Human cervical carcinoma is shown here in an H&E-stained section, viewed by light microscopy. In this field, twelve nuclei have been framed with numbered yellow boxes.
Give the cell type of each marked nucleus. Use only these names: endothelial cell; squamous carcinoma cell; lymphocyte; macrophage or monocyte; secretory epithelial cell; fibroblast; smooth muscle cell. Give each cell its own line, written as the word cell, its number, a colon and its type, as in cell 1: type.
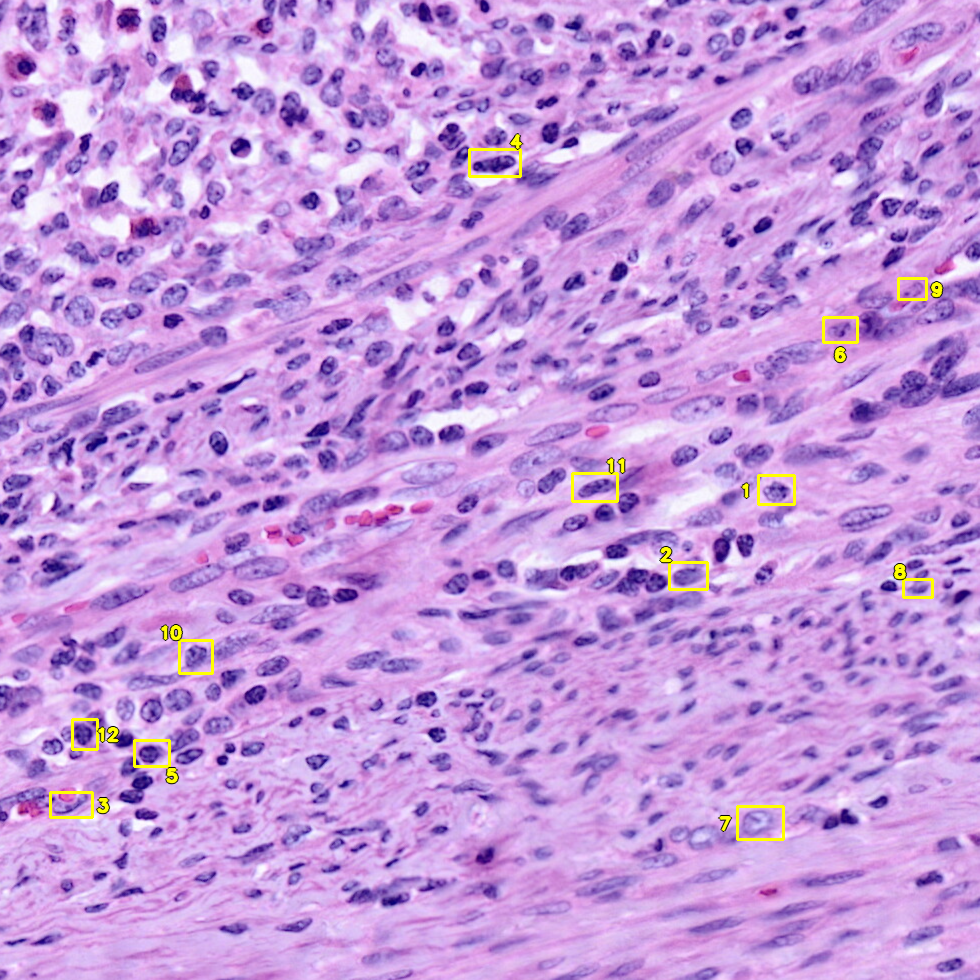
cell 1: lymphocyte
cell 2: lymphocyte
cell 3: endothelial cell
cell 4: lymphocyte
cell 5: lymphocyte
cell 6: endothelial cell
cell 7: endothelial cell
cell 8: fibroblast
cell 9: endothelial cell
cell 10: lymphocyte
cell 11: lymphocyte
cell 12: lymphocyte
